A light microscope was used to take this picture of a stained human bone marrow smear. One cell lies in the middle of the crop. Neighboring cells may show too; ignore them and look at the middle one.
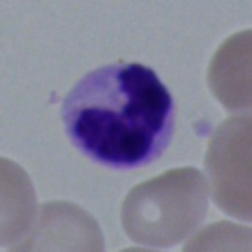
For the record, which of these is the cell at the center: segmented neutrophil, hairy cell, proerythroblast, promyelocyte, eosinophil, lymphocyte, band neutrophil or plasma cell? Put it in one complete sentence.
The centrally positioned cell in the crop represents a segmented neutrophil.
